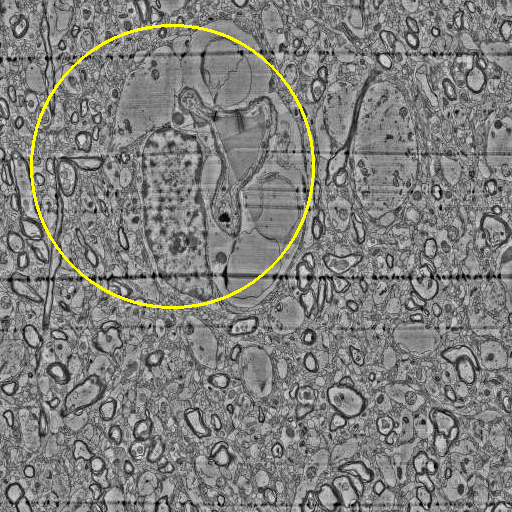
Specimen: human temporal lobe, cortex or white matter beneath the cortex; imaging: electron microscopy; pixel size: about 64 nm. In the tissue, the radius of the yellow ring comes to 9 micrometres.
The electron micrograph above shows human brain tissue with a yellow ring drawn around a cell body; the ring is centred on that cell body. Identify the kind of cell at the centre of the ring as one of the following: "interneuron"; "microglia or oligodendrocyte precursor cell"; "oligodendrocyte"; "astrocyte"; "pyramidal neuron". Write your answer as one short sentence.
The cell at the centre of the ring is a microglial cell or oligodendrocyte precursor cell.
